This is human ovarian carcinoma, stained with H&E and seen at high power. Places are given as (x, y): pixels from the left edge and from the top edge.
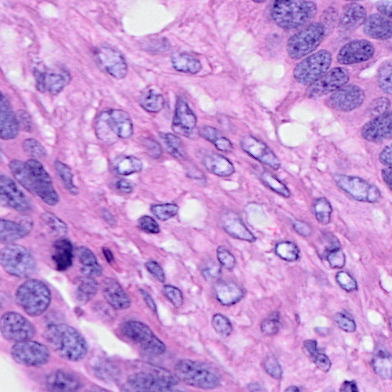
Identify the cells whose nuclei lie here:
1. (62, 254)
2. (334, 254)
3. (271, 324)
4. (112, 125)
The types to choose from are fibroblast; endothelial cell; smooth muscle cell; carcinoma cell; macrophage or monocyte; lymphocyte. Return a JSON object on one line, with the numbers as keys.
{"1": "carcinoma cell", "2": "fibroblast", "3": "fibroblast", "4": "fibroblast"}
